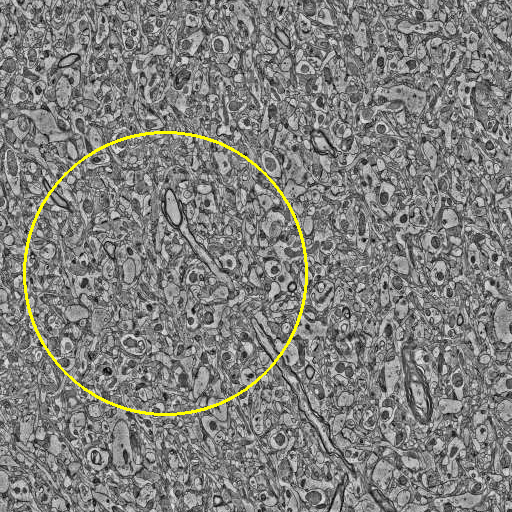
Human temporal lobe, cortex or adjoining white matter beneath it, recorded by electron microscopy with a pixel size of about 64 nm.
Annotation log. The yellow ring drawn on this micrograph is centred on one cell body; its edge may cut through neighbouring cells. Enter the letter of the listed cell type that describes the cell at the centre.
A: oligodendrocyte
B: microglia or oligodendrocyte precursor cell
A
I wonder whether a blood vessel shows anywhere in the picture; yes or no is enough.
No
